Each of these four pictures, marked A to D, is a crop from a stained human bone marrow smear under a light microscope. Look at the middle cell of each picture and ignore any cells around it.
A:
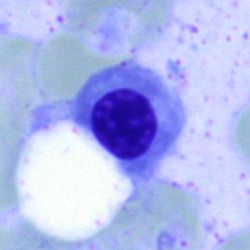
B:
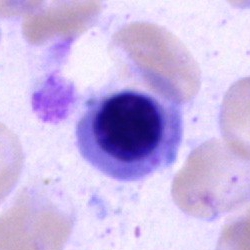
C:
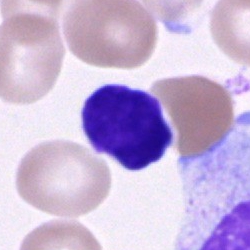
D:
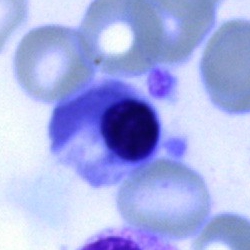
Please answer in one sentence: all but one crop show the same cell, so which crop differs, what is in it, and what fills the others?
There is a lymphocyte in crop C, while all the other crops show erythroblasts.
